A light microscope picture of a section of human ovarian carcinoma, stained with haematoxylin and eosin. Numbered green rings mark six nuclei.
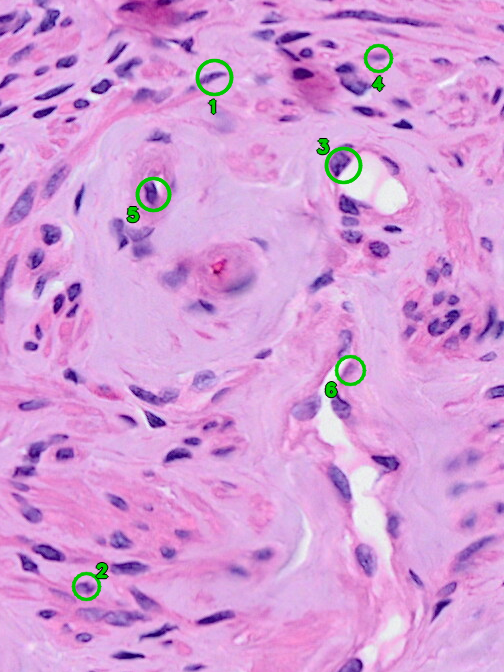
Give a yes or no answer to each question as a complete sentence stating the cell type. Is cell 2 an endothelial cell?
No, the cell with the number 2 is a smooth muscle cell, not an endothelial cell.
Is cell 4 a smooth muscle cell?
Yes, the one numbered 4 is a smooth muscle cell.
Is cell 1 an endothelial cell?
No, the cell at marker 1 is not an endothelial cell; it is a fibroblast.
